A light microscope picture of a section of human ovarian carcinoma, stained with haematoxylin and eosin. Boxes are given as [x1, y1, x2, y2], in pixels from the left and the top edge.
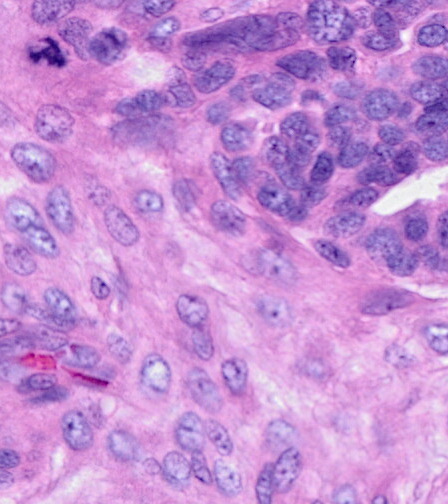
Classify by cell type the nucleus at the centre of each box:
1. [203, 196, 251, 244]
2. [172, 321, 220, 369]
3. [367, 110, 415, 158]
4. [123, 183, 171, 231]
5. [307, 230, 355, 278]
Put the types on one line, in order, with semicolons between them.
fibroblast; fibroblast; carcinoma cell; fibroblast; macrophage or monocyte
